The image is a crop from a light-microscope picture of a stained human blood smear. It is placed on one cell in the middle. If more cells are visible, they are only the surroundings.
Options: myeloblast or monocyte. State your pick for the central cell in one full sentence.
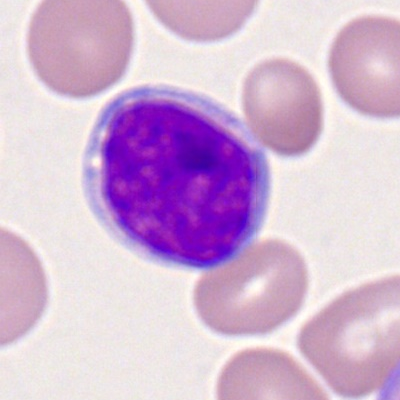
The center cell of this crop is a myeloblast.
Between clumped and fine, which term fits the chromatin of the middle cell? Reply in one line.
What stands out is chromatin that is coarsely clumped.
